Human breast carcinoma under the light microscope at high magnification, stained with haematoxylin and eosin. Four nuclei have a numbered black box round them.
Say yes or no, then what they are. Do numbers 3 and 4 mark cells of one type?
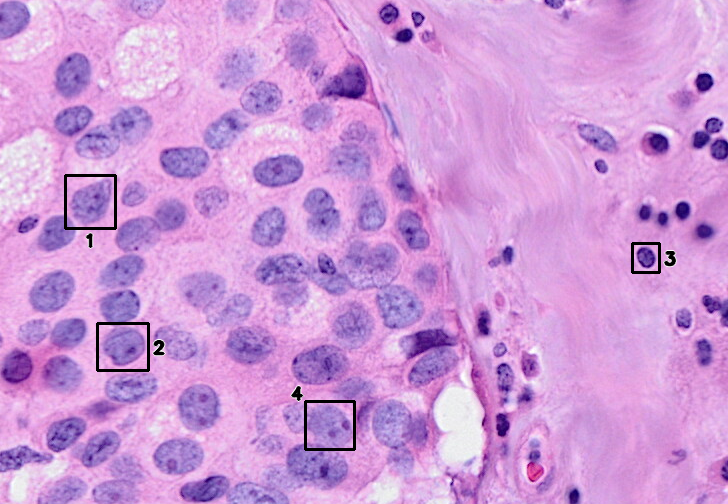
No, cell 3 is a lymphocyte and cell 4 is a carcinoma cell.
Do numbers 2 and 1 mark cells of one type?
Yes, both are carcinoma cells.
